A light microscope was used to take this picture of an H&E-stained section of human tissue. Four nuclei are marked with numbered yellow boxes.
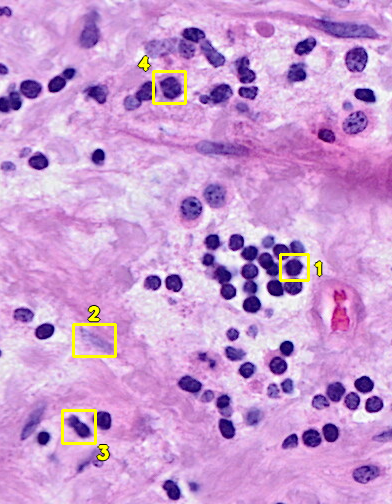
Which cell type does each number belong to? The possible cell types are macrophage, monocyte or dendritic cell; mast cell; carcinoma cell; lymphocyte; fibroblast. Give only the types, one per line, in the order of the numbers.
lymphocyte
fibroblast
lymphocyte
lymphocyte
